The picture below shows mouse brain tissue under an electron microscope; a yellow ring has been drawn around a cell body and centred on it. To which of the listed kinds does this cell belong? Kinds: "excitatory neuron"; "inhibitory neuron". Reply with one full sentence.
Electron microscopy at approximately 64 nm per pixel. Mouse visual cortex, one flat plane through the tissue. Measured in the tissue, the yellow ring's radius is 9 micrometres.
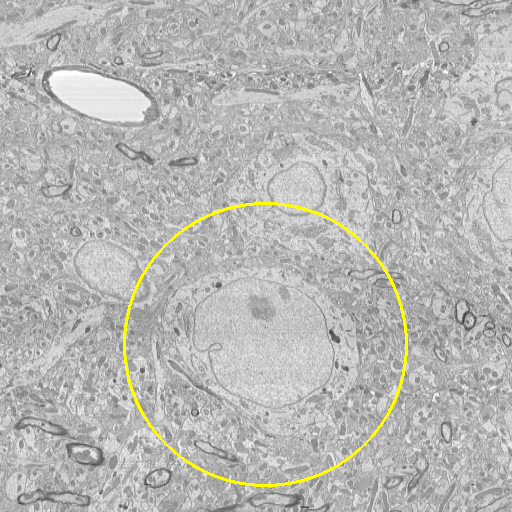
It is an excitatory neuron that the yellow ring in the picture is centred on.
